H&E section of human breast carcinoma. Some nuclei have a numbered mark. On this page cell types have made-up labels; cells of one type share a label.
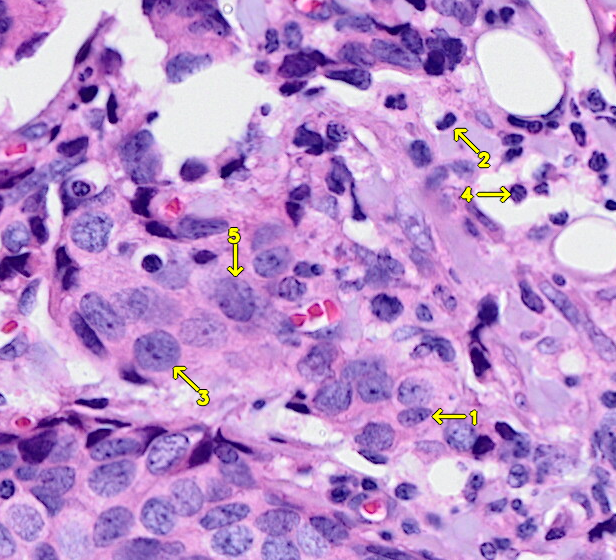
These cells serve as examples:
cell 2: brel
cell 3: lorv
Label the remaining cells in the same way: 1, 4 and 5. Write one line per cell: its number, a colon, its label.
1: lorv
4: brel
5: lorv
